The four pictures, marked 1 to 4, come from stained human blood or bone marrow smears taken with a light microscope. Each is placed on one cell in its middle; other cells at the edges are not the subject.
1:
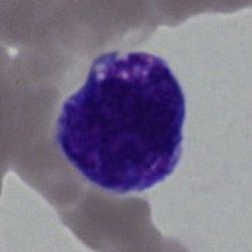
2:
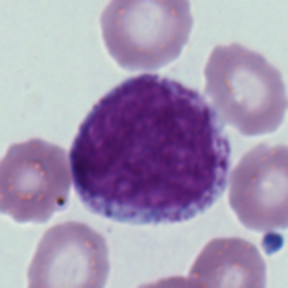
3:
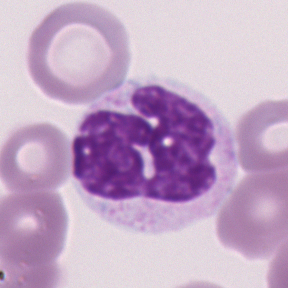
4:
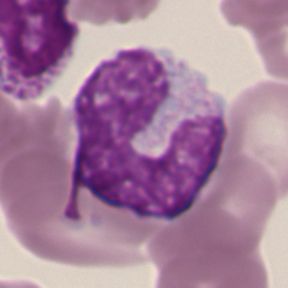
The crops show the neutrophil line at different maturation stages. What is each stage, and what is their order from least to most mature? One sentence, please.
The sequence from earliest to most advanced maturity is crop 1 (a promyelocyte), crop 2 (a myelocyte), crop 4 (a band neutrophil) and crop 3 (a segmented neutrophil).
